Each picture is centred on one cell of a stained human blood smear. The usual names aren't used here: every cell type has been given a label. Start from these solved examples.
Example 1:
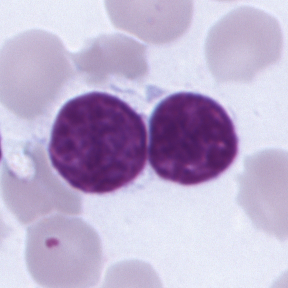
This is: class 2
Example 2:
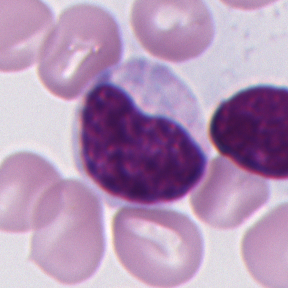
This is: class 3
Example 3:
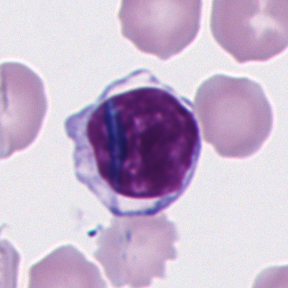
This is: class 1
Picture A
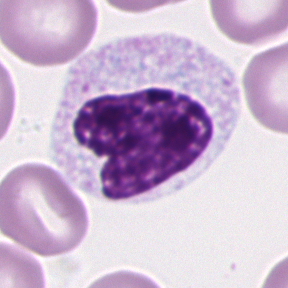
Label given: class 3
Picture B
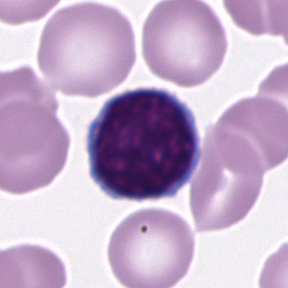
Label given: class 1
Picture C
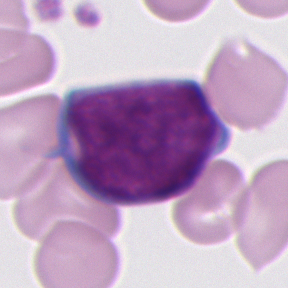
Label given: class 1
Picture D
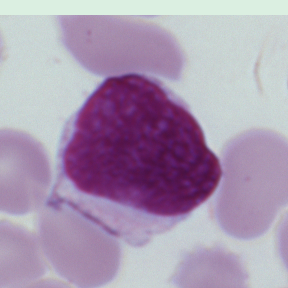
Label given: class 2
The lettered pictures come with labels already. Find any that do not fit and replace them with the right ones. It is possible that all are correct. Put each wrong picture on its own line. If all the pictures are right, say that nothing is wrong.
C: not class 1 but class 2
